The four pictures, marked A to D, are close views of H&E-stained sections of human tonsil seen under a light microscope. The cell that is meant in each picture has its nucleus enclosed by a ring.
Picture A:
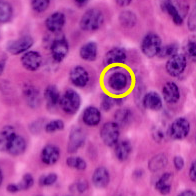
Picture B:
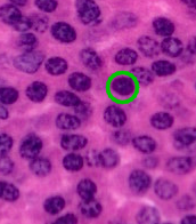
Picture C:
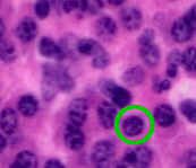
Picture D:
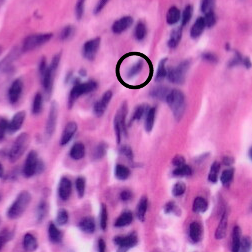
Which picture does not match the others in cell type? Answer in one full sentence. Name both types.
The different one is picture D; it shows a mast cell, whereas all the others show plasma cells.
